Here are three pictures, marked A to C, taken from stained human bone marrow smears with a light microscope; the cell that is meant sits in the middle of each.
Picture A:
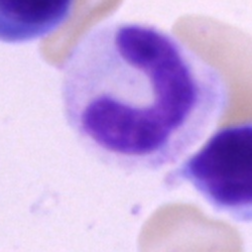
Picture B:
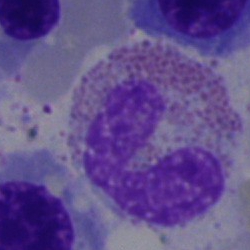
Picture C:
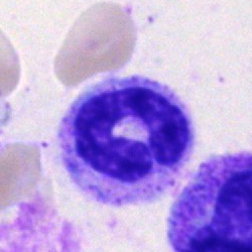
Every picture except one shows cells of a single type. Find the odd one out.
B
